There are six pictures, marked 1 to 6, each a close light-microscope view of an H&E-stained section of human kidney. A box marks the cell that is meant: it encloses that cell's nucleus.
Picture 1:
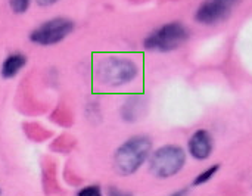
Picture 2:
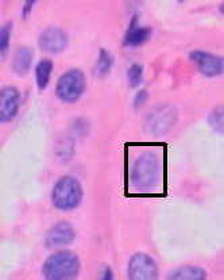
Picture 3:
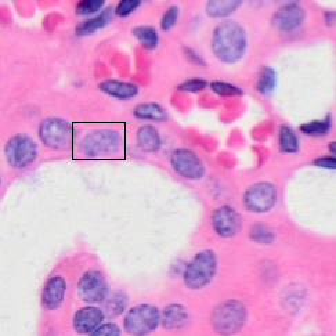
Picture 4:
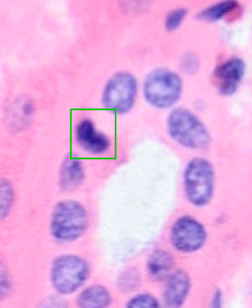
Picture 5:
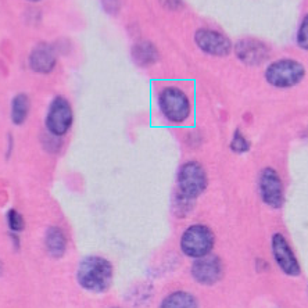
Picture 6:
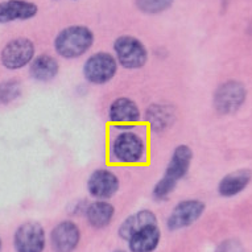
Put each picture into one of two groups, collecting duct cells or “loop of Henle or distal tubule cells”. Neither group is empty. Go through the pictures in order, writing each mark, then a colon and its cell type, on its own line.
1: collecting duct cell
2: loop of Henle or distal tubule cell
3: collecting duct cell
4: collecting duct cell
5: loop of Henle or distal tubule cell
6: collecting duct cell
